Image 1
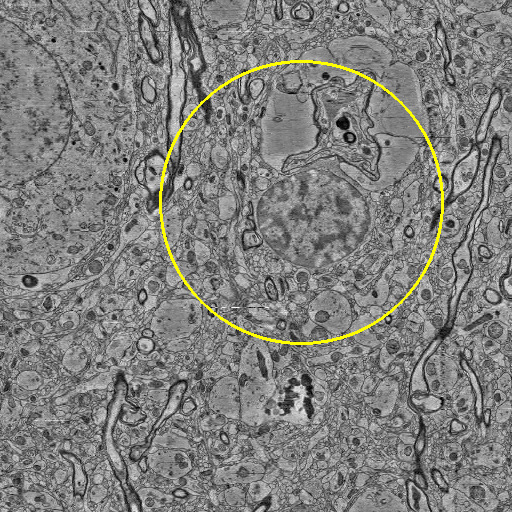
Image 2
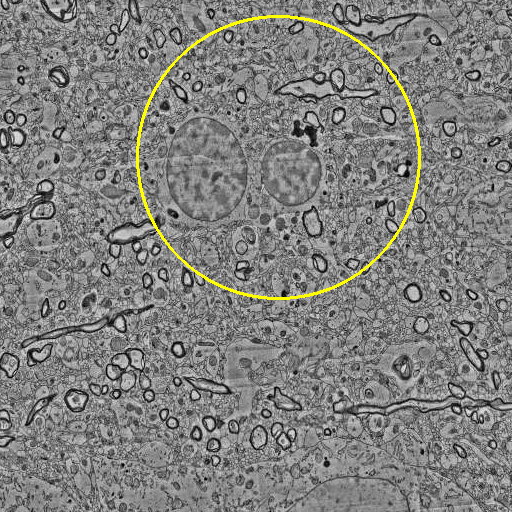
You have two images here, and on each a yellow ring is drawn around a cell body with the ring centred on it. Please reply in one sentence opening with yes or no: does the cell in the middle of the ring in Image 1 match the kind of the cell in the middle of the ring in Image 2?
Yes, the two images show cells of one kind at the centres of their rings.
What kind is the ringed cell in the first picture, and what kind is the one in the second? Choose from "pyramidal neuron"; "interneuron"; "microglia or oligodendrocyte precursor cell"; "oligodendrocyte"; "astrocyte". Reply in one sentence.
In each picture the ringed cell is an oligodendrocyte.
